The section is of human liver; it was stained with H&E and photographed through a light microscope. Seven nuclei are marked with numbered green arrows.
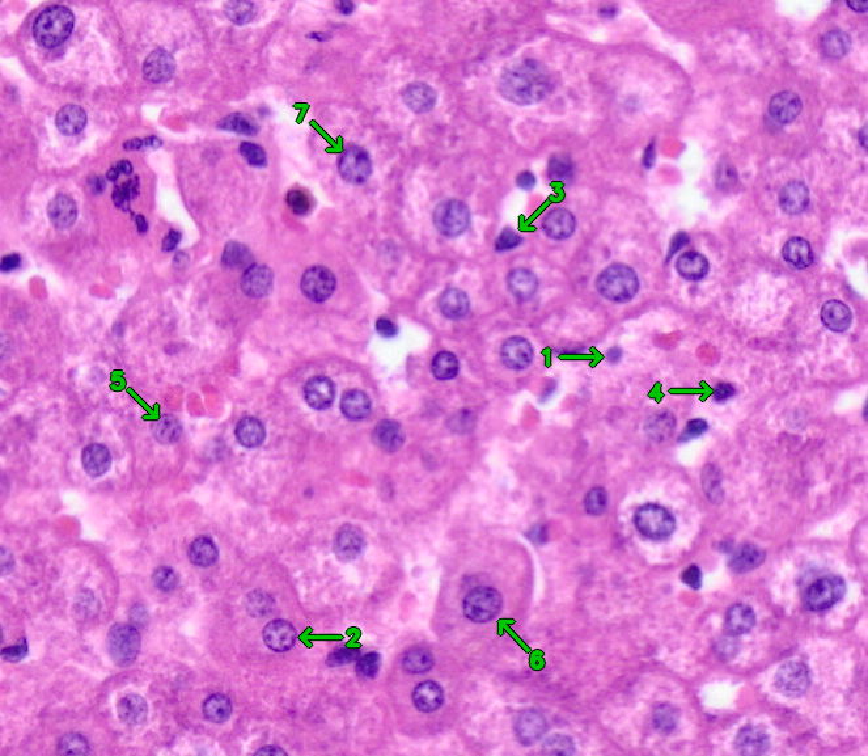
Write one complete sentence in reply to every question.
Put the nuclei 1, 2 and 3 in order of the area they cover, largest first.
By area, largest first, they run 2, 3, 1.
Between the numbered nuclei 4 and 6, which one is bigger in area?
Nucleus 6 is the larger one, covering about 3 times the area of nucleus 4.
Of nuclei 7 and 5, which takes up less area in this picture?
It is nucleus 5; nucleus 7 has about 1.5 times its area.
